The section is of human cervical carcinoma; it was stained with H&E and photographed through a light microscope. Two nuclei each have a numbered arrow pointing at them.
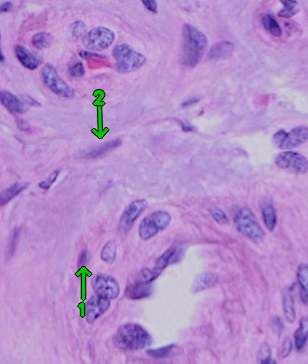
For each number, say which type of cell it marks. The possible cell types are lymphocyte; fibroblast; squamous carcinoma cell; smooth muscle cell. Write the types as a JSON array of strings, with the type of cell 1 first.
["smooth muscle cell", "fibroblast"]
